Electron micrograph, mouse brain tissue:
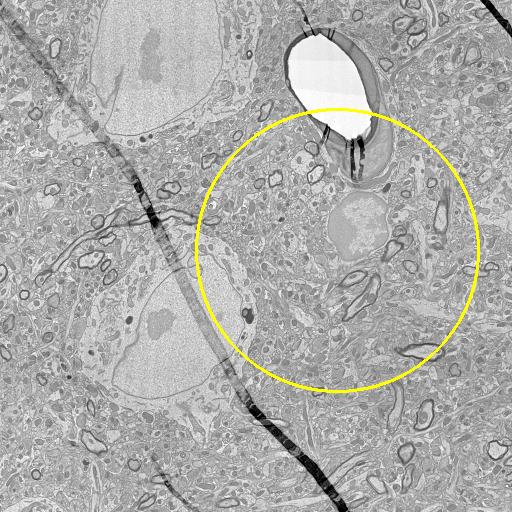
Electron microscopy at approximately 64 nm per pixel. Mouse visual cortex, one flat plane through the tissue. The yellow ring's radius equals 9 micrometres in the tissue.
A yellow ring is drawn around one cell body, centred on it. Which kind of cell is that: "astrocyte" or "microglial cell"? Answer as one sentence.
It is a microglial cell at the centre of the ring.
